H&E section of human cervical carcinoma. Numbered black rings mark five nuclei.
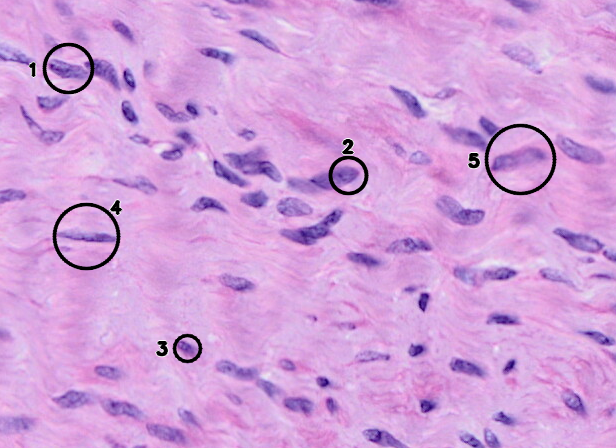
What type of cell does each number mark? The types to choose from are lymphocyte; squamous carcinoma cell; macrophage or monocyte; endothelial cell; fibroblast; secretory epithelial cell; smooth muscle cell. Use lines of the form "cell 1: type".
cell 1: fibroblast
cell 2: fibroblast
cell 3: smooth muscle cell
cell 4: fibroblast
cell 5: smooth muscle cell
